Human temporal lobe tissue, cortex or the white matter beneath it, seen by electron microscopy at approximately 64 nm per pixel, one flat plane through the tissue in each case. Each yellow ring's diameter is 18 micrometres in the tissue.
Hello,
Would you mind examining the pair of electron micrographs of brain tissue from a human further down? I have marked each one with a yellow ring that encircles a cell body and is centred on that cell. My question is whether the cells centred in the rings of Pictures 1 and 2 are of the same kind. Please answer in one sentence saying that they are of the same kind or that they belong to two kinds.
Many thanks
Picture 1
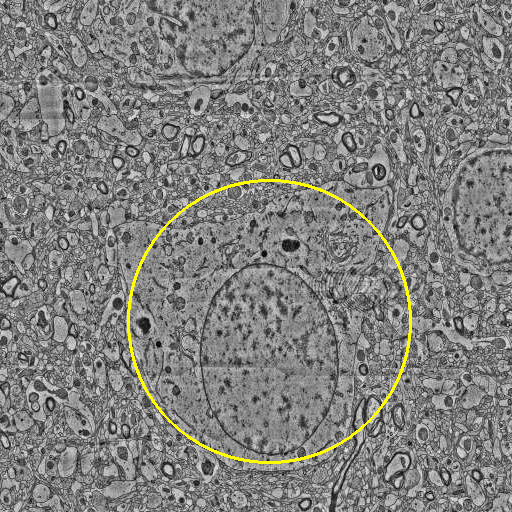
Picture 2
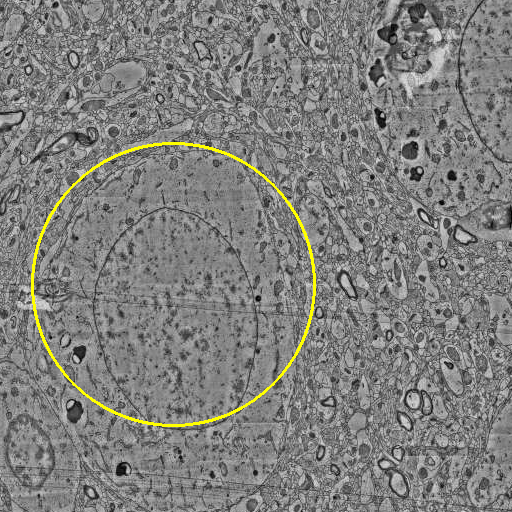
In Pictures 1 and 2, the cells at the heart of the rings are of the same kind.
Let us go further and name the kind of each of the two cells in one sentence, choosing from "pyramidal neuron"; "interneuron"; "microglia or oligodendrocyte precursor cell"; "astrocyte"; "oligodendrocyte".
The cell in the first picture is a pyramidal neuron, and so is the one in the second.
